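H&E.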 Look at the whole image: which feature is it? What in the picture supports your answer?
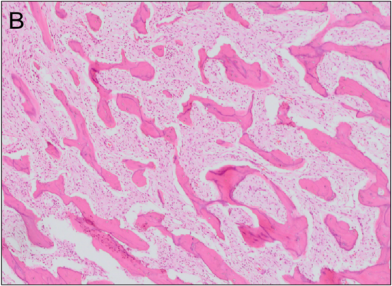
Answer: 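Irregular, branching bright pink bands of matrix. Bands separated by paler, cellular stroma. So: bony trabeculae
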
